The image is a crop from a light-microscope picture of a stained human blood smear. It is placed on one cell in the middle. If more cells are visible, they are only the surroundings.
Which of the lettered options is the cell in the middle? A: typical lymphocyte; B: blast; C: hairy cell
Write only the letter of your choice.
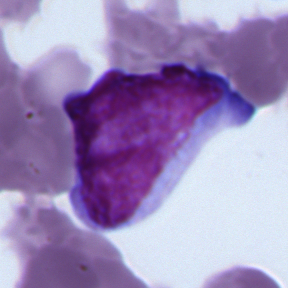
B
